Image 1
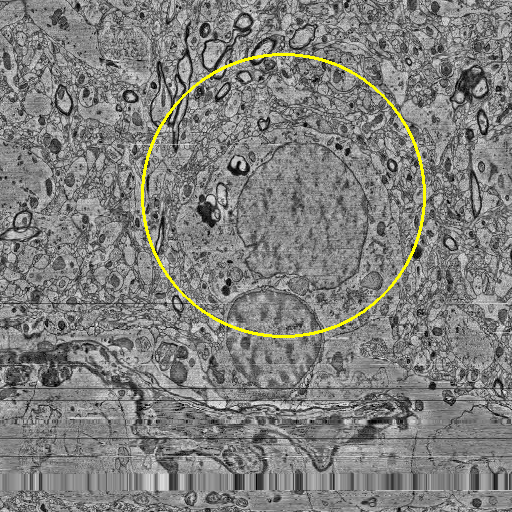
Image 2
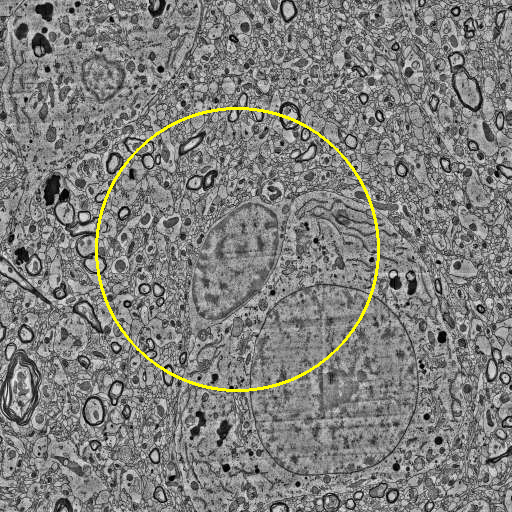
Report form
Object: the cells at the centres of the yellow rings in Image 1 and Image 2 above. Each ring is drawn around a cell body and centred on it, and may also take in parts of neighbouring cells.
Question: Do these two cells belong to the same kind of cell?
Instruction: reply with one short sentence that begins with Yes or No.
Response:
No, they belong to two kinds of cell.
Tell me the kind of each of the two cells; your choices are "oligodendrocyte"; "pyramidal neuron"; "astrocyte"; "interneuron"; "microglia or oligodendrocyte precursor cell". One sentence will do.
The ringed cell is a pyramidal neuron in the first picture and an oligodendrocyte in the second picture.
